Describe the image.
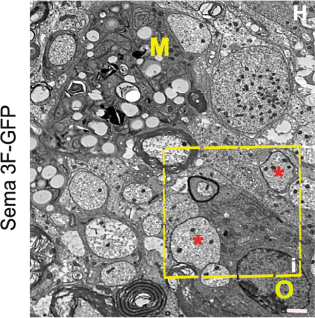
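This electron micrograph shows a white matter lesion crowded with round axon profiles of various sizes, most with pale cytoplasm and scattered dark organelles and no thick sheath around them. At the upper left lies a large cell packed with pale round vacuoles and dense dark inclusions, the look of a lipid-laden macrophage digesting myelin debris. A few axons nearby carry thin dark rings, and others, starred, have only a slender rim, in keeping with early remyelination, while some elsewhere keep thick, dark compact sheaths. Along the lower edge lies a cell with dense cytoplasm and a nucleus, taken to be an oligodendroglial cell, close to these thinly wrapped axons.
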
